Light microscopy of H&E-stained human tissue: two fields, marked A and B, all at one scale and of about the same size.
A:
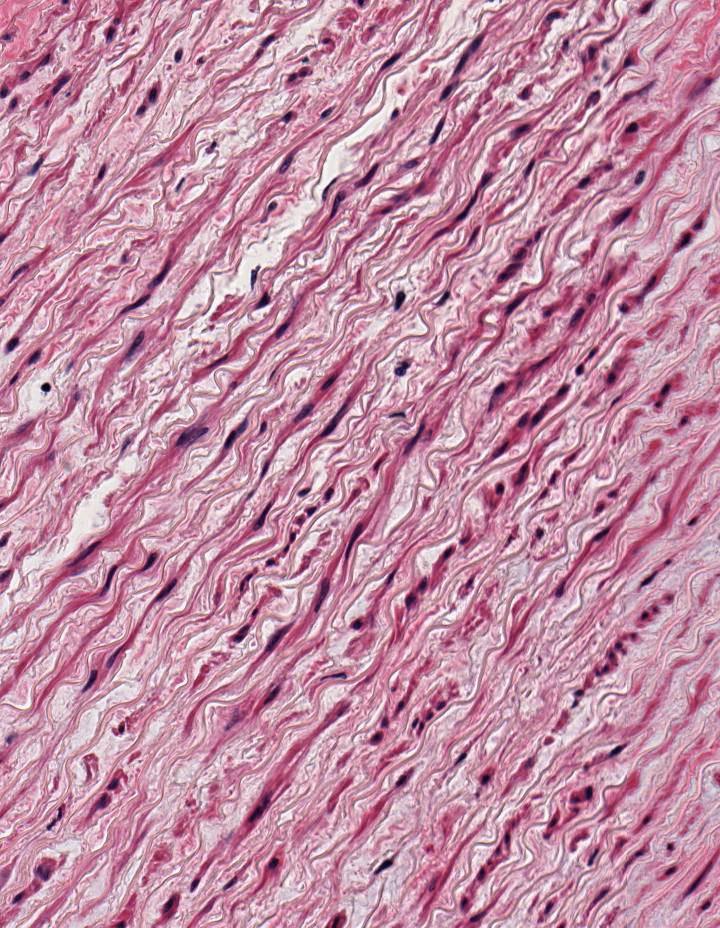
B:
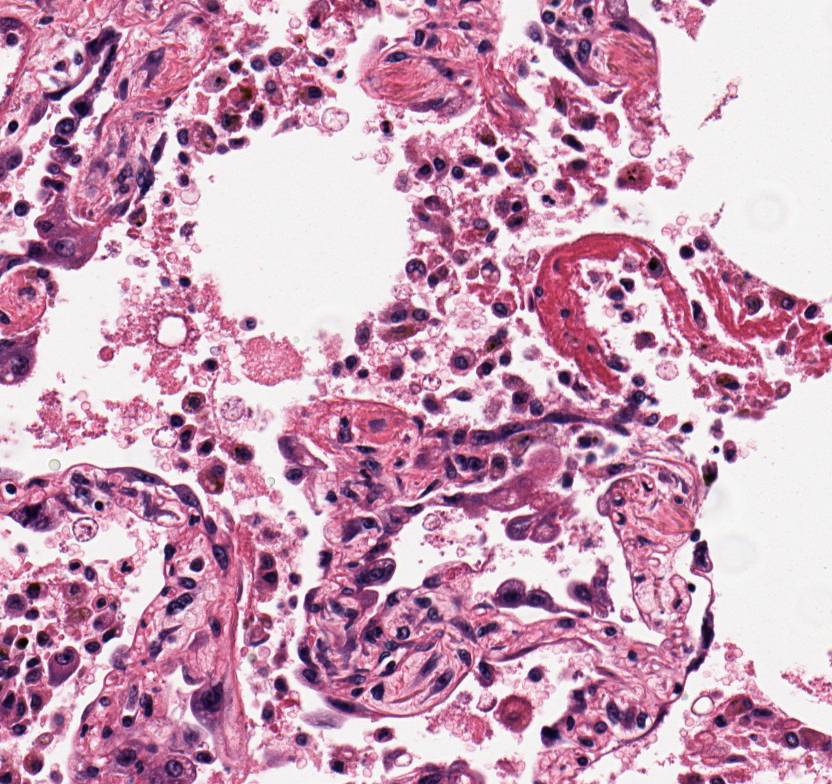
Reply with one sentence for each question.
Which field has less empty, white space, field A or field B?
Unstained space takes up less of field A than of field B.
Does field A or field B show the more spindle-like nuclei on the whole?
It is field A whose nuclei are the more elongated.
